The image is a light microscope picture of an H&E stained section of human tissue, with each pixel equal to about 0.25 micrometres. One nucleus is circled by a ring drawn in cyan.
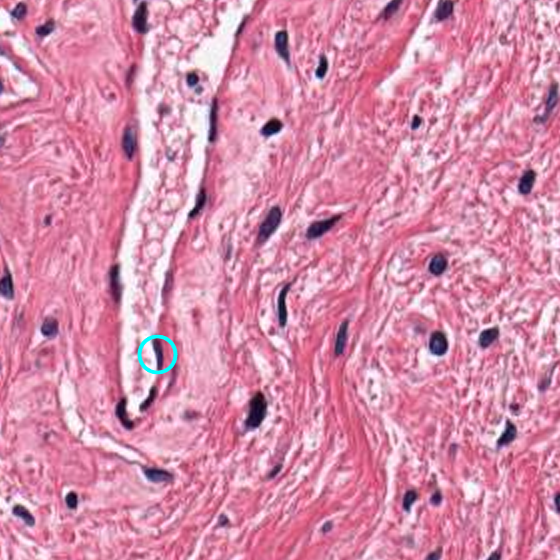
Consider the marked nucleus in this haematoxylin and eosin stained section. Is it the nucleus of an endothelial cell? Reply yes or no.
yes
